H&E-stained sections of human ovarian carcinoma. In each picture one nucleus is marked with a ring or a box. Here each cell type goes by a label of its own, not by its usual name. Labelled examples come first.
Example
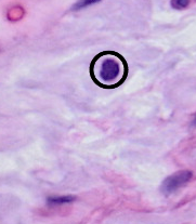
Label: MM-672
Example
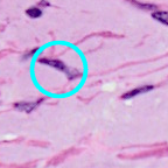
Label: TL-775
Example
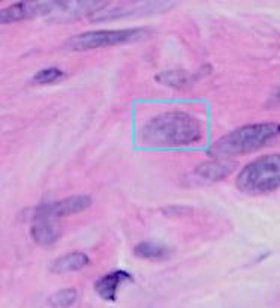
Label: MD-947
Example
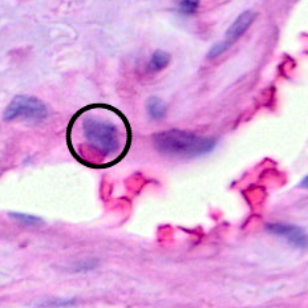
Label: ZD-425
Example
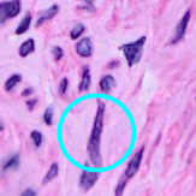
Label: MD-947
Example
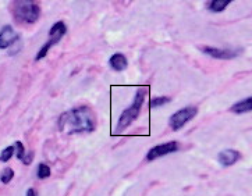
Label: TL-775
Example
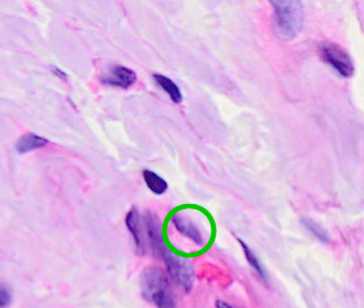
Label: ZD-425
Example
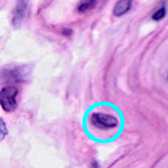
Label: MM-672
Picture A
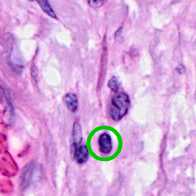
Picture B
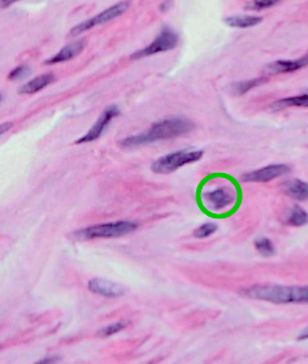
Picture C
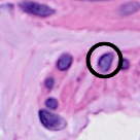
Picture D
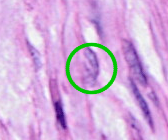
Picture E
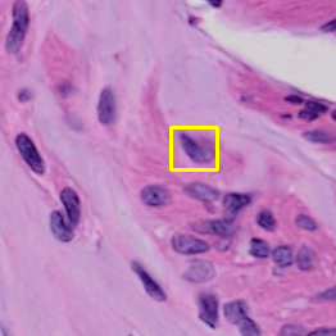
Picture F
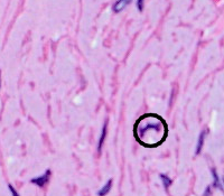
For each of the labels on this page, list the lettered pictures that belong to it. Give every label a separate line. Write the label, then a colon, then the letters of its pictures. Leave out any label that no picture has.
MM-672: A
TL-775: D, F
MD-947: B, C, E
